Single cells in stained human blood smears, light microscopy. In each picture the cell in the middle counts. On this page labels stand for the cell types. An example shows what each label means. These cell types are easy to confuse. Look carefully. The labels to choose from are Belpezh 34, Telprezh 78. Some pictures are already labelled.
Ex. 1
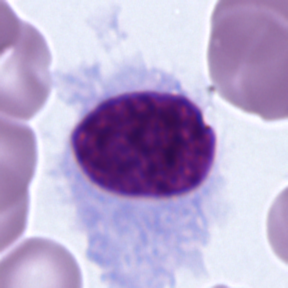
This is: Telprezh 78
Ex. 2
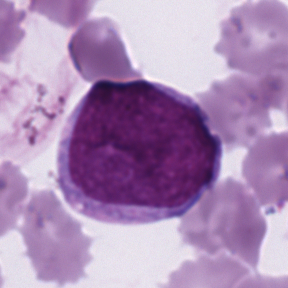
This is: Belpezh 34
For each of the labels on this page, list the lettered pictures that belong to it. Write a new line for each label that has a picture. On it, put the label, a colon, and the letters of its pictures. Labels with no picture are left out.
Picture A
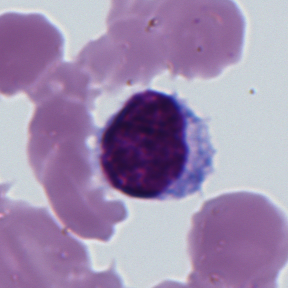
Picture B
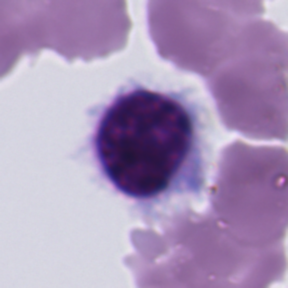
Telprezh 78: A, B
